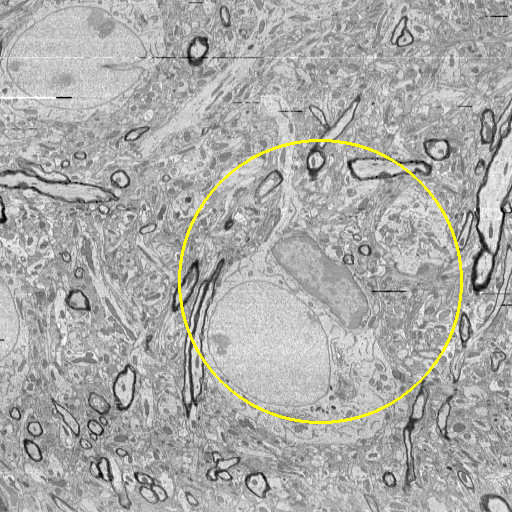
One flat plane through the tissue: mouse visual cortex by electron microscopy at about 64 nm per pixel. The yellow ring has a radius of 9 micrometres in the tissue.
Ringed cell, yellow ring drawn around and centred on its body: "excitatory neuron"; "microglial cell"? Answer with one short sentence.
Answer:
This ringed cell is a microglial cell.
